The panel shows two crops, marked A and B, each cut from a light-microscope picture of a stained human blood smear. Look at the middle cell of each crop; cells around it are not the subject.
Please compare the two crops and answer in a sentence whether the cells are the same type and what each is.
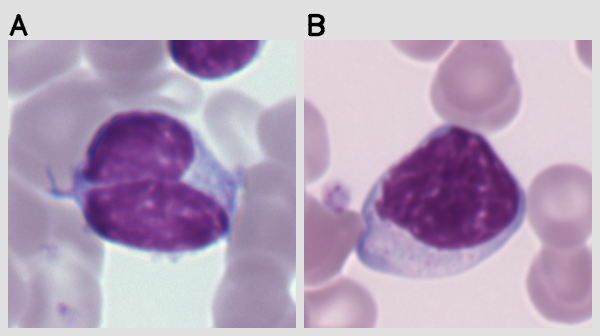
Yes, they do, both crops show large granular lymphocytes.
